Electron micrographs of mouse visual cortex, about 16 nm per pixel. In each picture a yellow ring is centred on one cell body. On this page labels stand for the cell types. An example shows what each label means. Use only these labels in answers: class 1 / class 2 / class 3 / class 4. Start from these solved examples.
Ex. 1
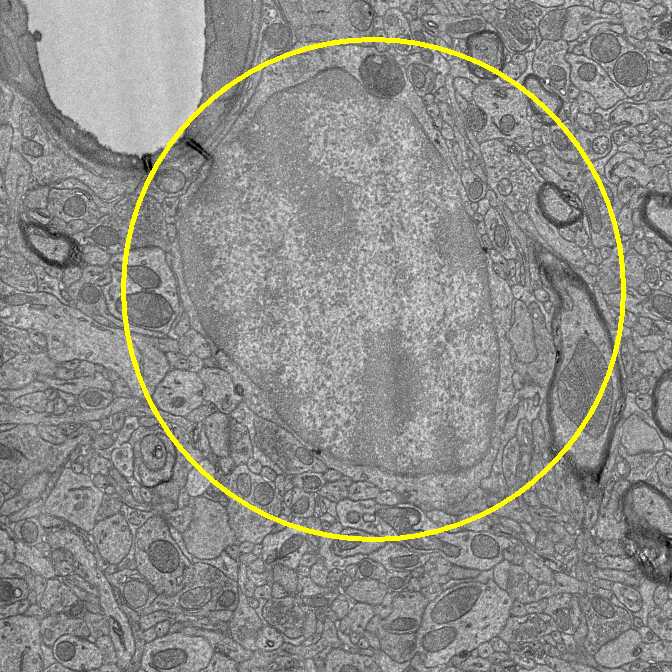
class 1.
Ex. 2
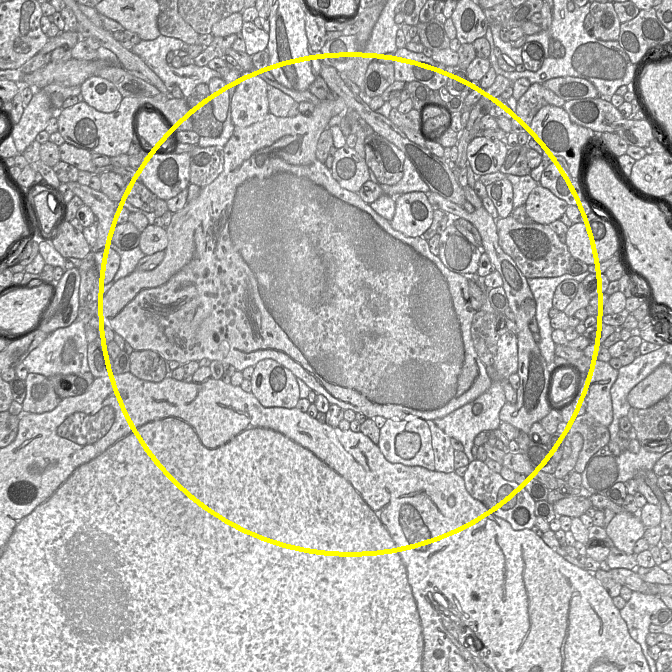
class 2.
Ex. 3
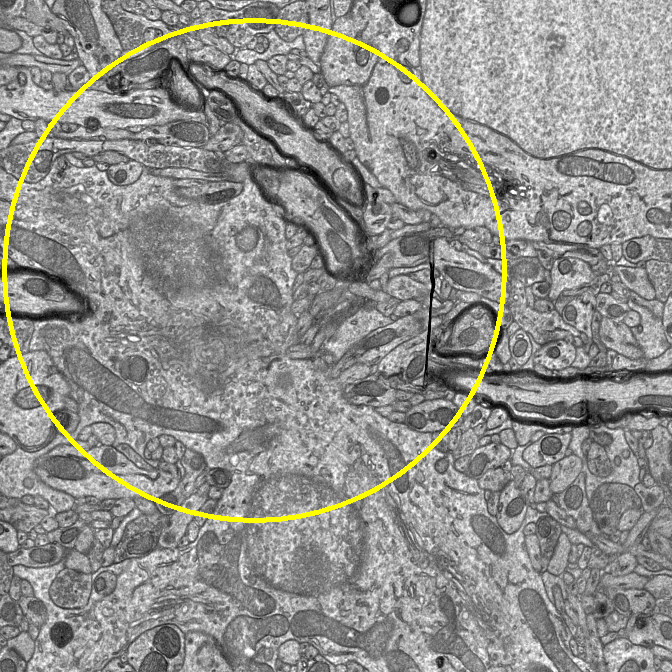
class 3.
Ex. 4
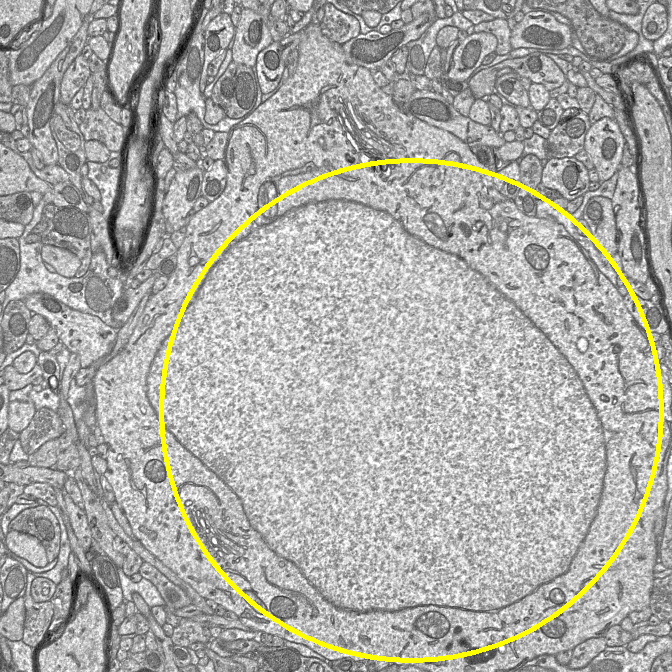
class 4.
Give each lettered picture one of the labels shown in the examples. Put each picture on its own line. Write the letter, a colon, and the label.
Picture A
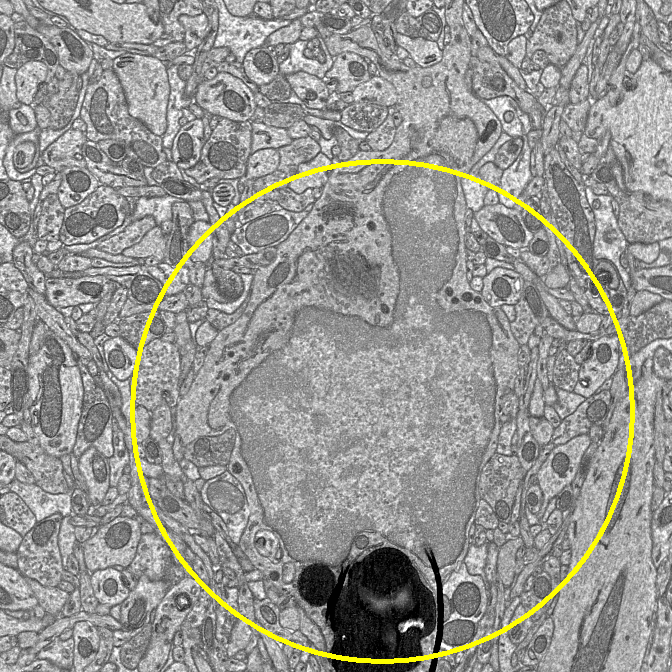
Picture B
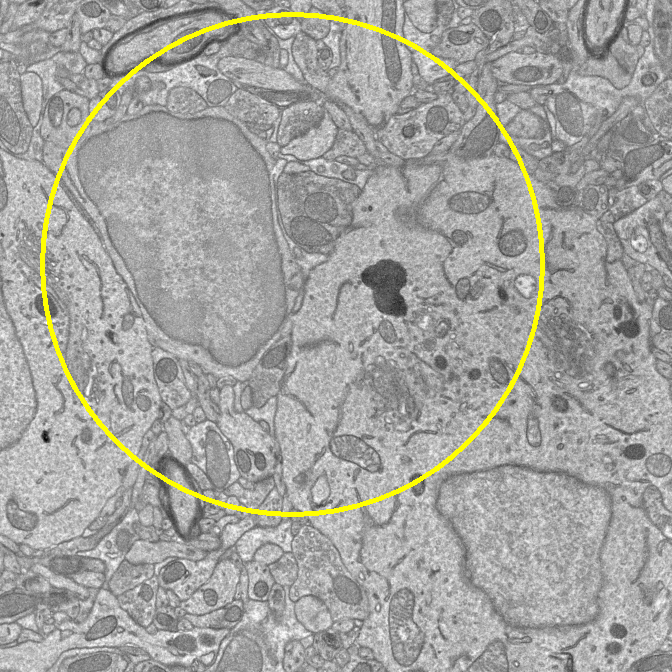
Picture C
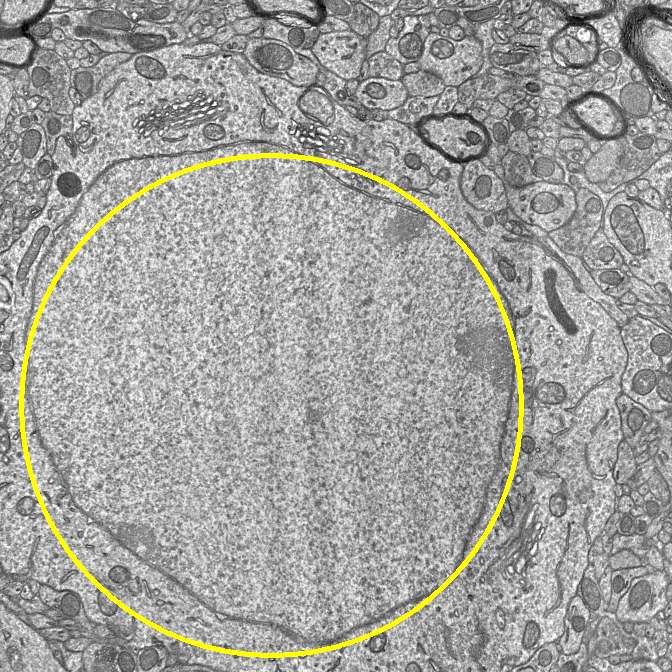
A: class 2.
B: class 2.
C: class 4.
